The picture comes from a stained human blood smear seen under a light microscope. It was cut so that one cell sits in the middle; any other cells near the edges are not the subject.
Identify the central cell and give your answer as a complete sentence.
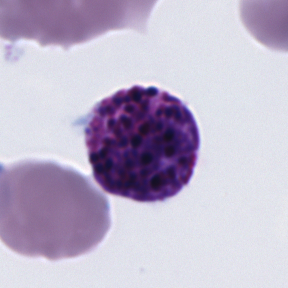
Of the cells in this crop, the central one is a basophil.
